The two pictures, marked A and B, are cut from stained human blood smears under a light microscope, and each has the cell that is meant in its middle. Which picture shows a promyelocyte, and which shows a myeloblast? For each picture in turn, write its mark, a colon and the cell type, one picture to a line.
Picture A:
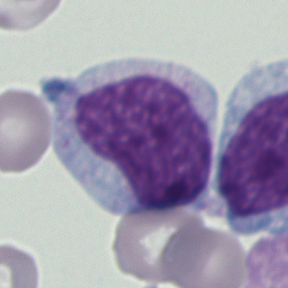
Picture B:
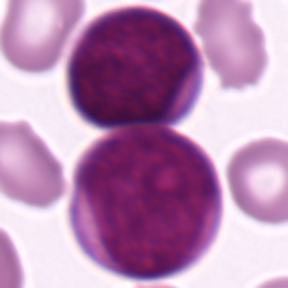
A: promyelocyte
B: myeloblast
